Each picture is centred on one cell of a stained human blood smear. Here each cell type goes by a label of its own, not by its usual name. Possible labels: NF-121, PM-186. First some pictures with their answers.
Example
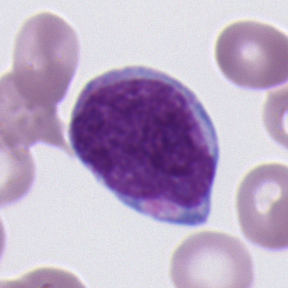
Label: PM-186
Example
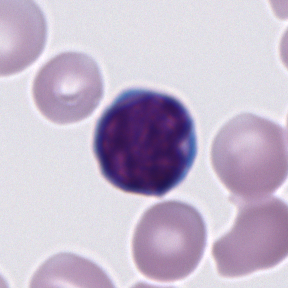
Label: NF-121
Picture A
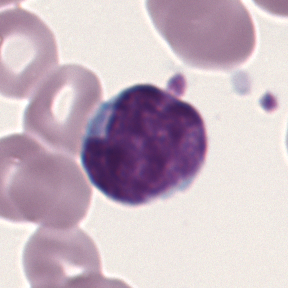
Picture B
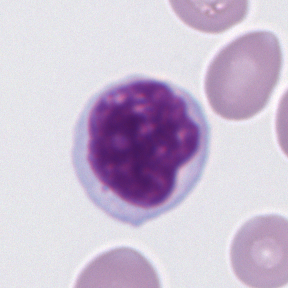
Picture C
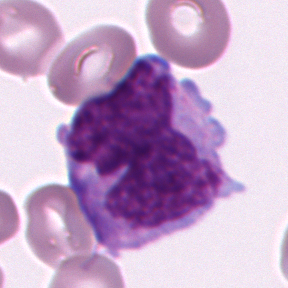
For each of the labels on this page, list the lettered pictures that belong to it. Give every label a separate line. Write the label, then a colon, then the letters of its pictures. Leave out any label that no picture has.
NF-121: A, B
PM-186: C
